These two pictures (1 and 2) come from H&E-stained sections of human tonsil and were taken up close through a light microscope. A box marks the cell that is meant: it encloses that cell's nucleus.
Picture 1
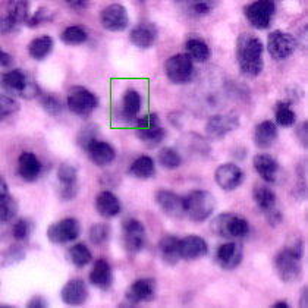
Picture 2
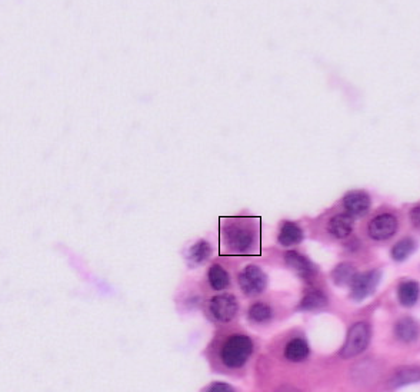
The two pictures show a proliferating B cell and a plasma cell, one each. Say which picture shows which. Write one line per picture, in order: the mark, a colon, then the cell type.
1: proliferating B cell
2: plasma cell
